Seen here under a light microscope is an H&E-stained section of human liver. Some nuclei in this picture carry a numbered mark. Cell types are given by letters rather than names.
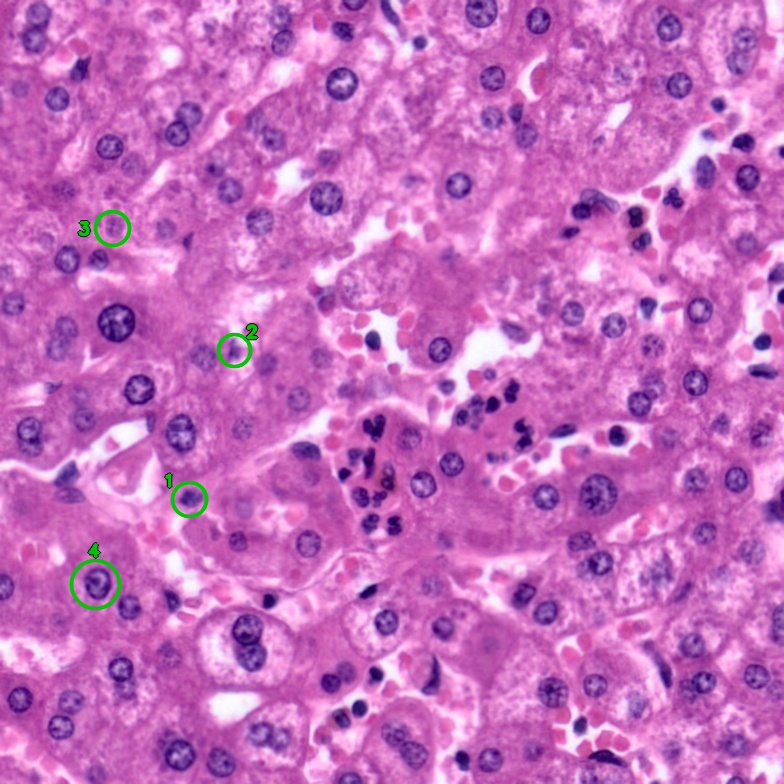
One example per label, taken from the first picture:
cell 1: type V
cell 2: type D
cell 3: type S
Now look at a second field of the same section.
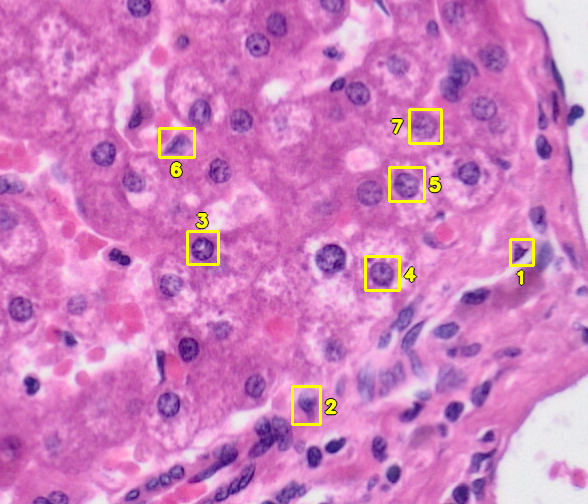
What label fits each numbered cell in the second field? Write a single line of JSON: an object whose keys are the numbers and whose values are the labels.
{"1": "type V", "2": "type V", "3": "type S", "4": "type S", "5": "type S", "6": "type D", "7": "type S"}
